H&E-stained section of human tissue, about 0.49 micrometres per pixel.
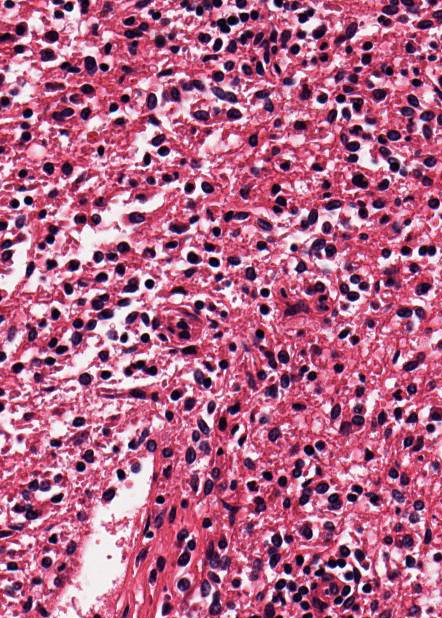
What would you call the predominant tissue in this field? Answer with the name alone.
red pulp of the spleen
